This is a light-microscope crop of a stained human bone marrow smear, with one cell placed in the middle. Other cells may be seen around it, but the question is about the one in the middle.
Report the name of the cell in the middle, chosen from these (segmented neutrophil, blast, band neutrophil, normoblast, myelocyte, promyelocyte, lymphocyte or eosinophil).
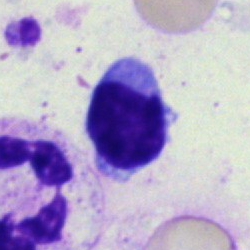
lymphocyte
